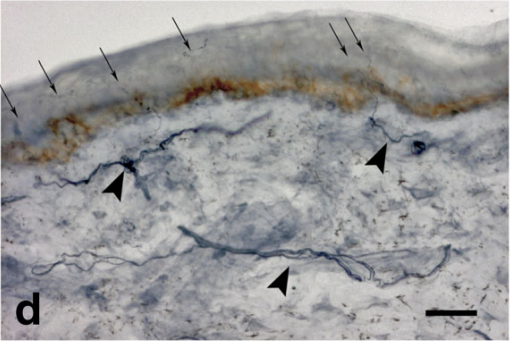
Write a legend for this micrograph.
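Skin section with a pale epidermis over a brown pigmented basal band and a loose dermis beneath. Scattered fine dark nerve fibers cross the epidermis toward the surface. Long, thick, wavy dark nerve bundles run horizontally through the dermis, one branching just below the epidermis.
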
